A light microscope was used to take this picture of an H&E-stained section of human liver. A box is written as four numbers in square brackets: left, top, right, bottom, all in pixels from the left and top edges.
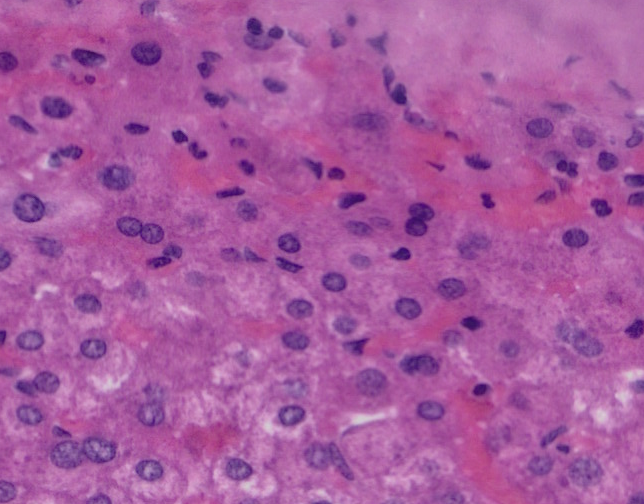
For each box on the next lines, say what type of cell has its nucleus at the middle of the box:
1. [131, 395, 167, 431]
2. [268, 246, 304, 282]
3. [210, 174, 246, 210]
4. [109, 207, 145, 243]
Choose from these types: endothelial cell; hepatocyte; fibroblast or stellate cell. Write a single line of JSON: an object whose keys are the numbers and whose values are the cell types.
{"1": "hepatocyte", "2": "fibroblast or stellate cell", "3": "endothelial cell", "4": "hepatocyte"}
